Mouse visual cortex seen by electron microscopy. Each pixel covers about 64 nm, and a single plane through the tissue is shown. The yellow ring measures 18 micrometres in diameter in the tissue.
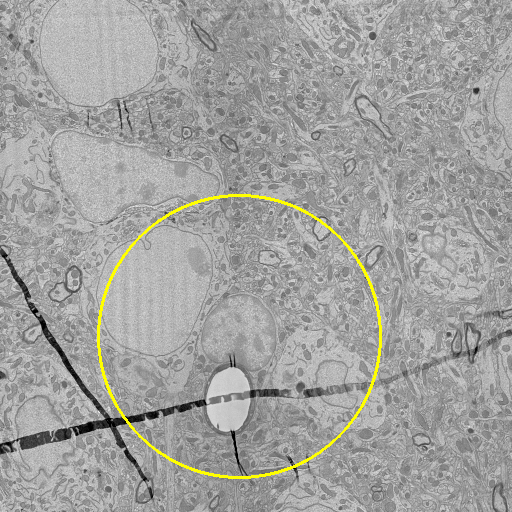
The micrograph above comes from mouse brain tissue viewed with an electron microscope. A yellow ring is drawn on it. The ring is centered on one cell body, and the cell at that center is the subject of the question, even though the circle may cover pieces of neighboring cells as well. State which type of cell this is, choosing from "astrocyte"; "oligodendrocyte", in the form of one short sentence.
The cell the ring is centered on is an oligodendrocyte.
